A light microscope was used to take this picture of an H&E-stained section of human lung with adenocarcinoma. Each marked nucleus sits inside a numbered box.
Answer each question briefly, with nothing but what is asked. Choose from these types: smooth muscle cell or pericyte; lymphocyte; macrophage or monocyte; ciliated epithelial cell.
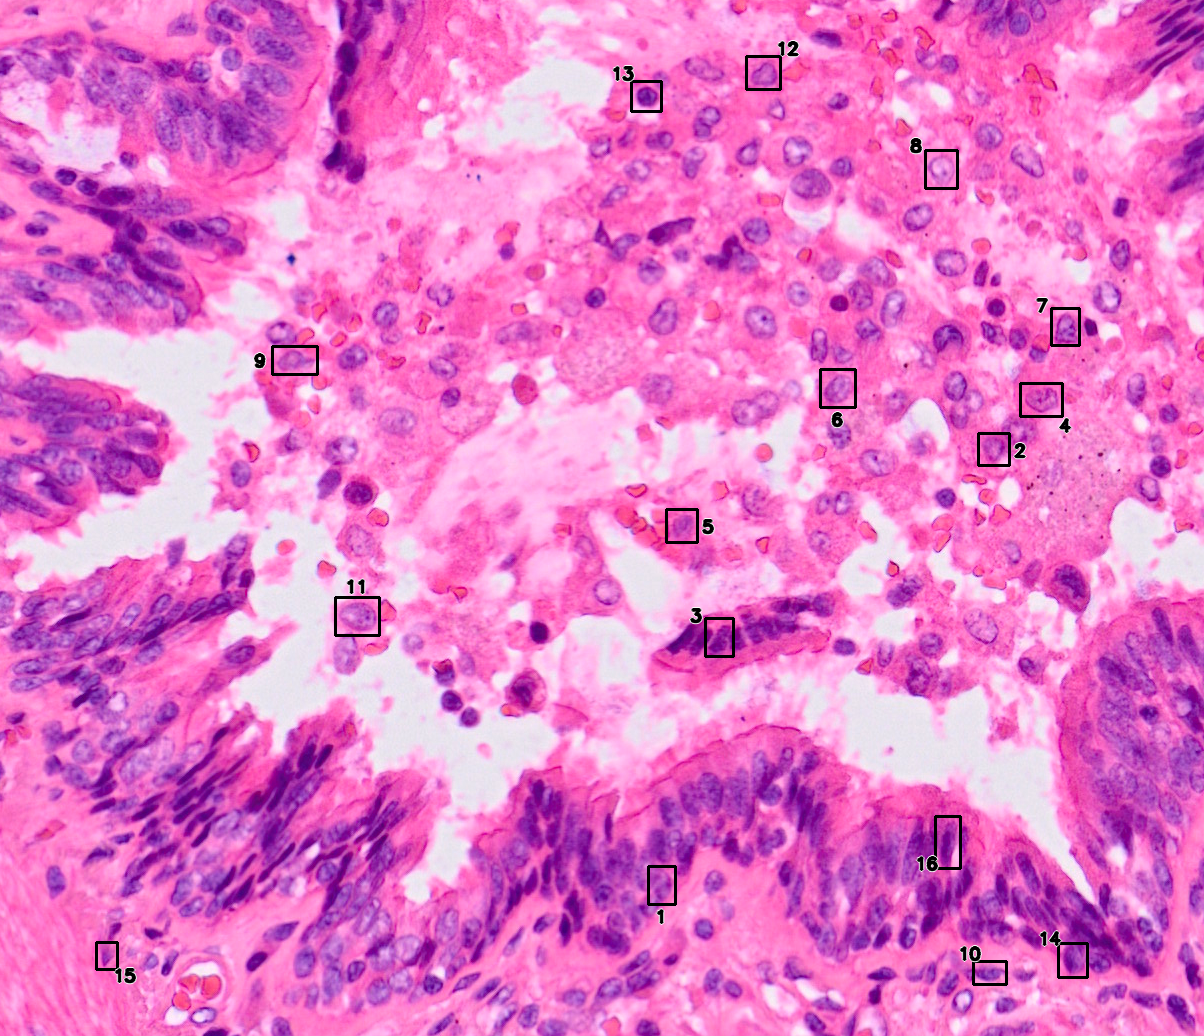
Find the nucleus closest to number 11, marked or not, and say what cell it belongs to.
macrophage or monocyte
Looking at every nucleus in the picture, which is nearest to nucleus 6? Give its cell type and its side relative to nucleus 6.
a macrophage or monocyte; above nucleus 6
